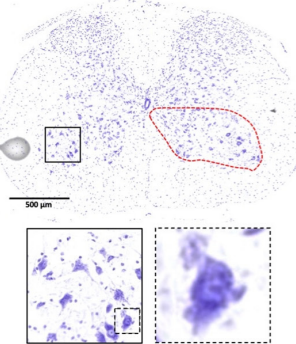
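This is a cross-section of spinal cord stained blue, with the butterfly-shaped grey matter around a small central canal and paler white matter around it. In the ventral grey matter lie scattered large, angular nerve cell bodies, much bigger than the small dots of surrounding glial nuclei. The dorsal grey matter shows mostly small, densely packed cells.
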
